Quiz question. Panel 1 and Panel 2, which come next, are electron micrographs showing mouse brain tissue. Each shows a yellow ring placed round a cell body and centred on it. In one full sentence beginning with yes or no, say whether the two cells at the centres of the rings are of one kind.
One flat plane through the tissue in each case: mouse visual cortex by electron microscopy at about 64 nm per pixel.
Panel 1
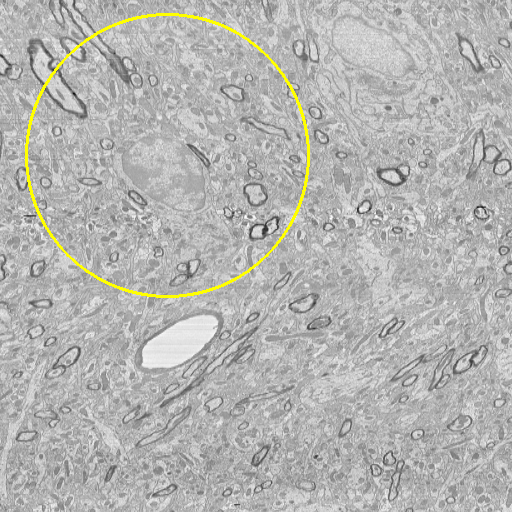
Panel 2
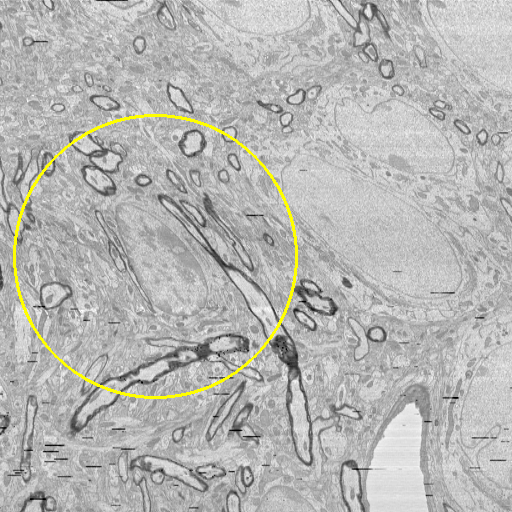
Yes, Panel 1 and Panel 2 show one kind of cell at the centre of the ring.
